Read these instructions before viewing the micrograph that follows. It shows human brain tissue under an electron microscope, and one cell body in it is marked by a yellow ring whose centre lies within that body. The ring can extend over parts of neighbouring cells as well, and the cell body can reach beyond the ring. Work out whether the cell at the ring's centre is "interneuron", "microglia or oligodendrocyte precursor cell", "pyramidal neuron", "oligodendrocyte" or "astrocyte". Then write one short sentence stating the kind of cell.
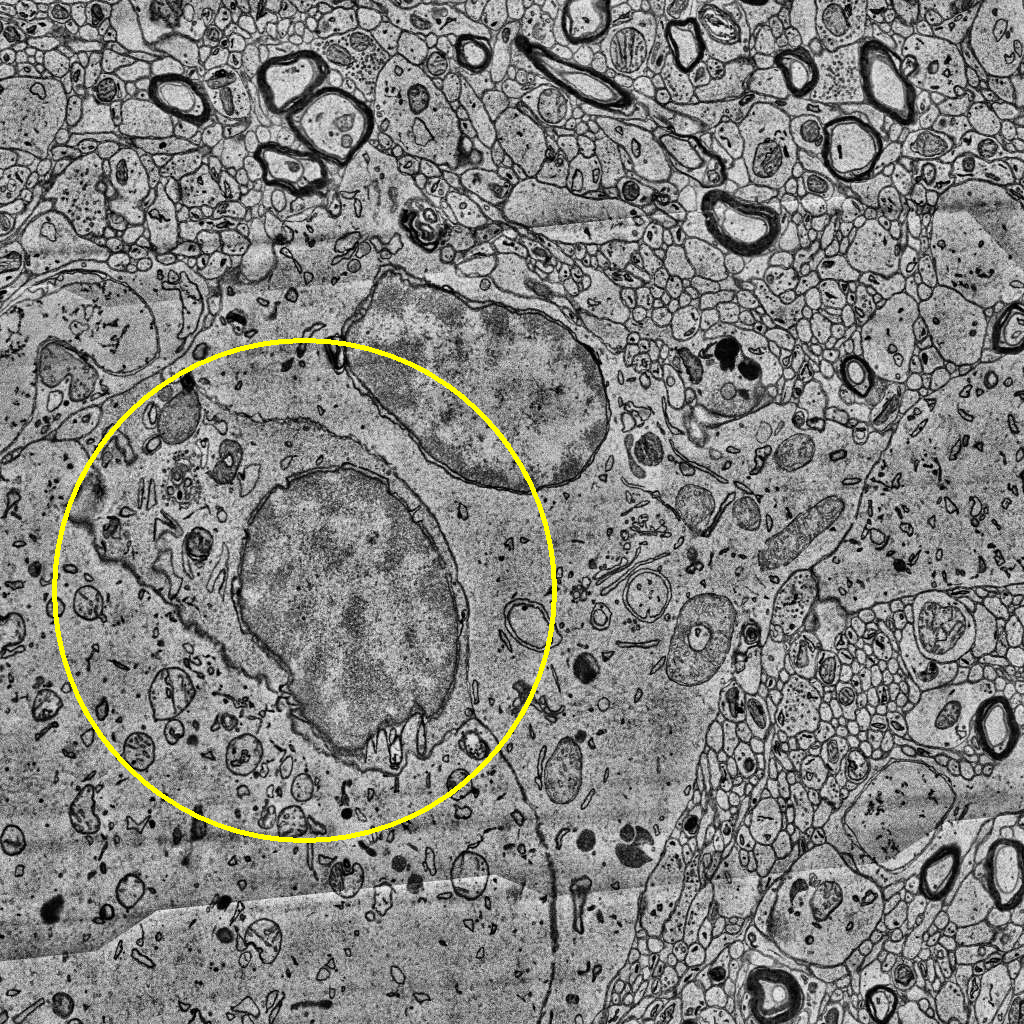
The cell at the ring's centre is an oligodendrocyte.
